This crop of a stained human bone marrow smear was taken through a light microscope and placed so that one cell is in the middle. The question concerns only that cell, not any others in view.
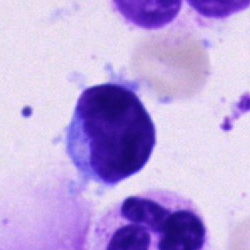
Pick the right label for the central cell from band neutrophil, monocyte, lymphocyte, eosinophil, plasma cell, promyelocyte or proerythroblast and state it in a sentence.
The single cell at the center of the crop is a lymphocyte.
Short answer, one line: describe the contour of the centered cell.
Along the periphery, ragged stretches or projections make the outline irregular.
